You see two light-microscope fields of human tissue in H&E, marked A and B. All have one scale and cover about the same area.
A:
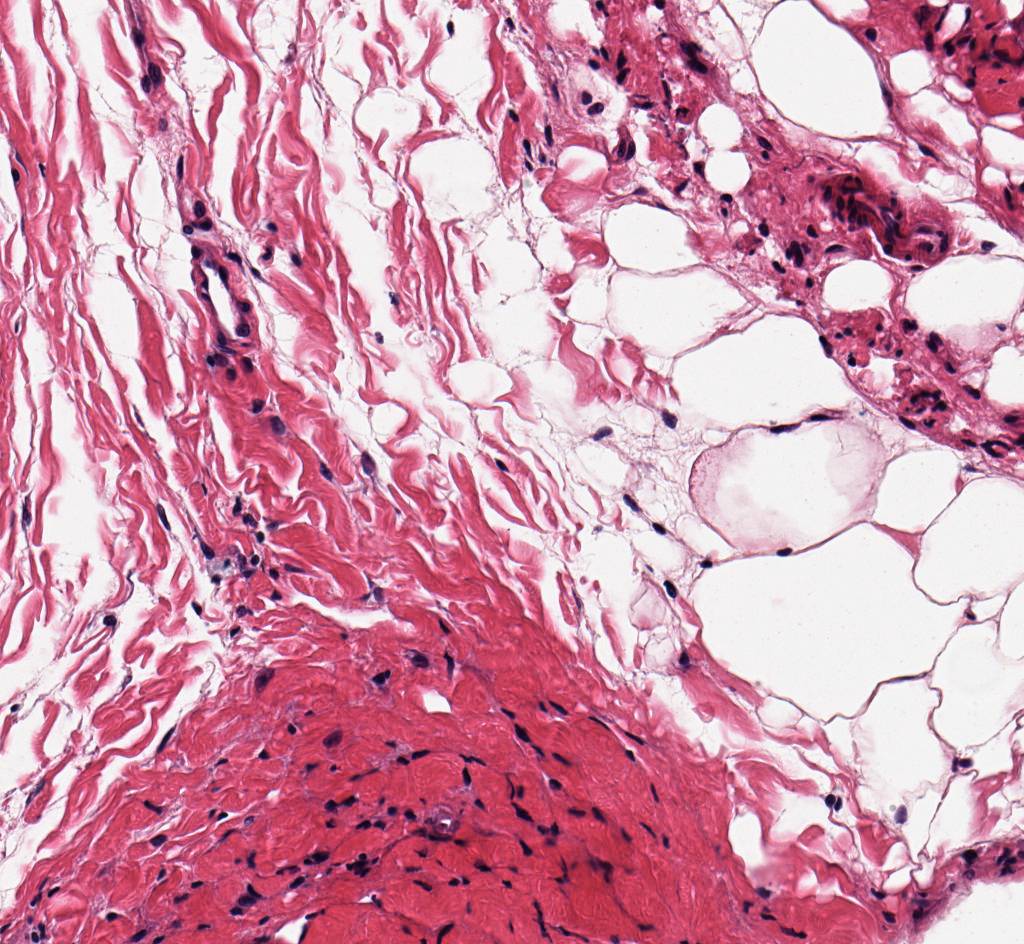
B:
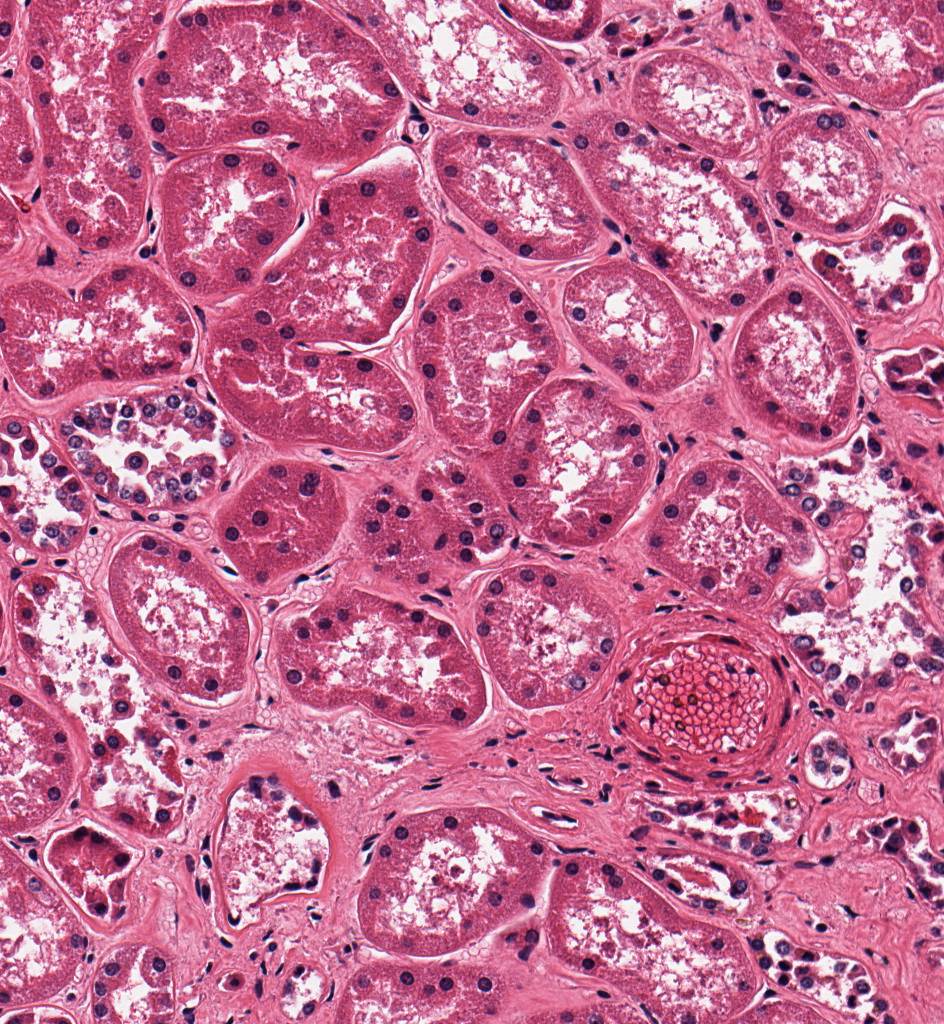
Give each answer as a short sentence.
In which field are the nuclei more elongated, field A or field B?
The nuclei are more elongated in field A.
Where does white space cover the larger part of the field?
It is field A in which white space covers the larger part.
